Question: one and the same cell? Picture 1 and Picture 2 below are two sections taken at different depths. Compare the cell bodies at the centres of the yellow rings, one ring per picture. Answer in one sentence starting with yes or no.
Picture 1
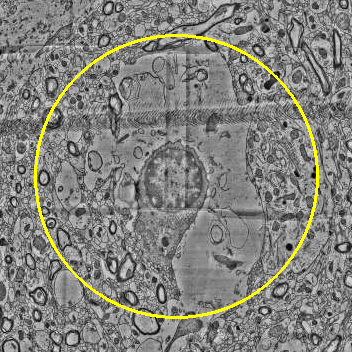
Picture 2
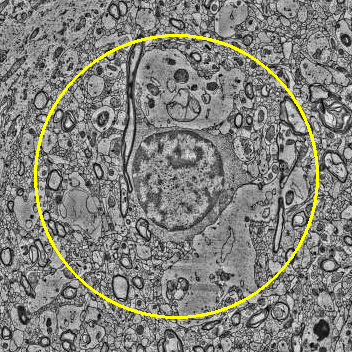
Yes, both rings identify a single, shared cell.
